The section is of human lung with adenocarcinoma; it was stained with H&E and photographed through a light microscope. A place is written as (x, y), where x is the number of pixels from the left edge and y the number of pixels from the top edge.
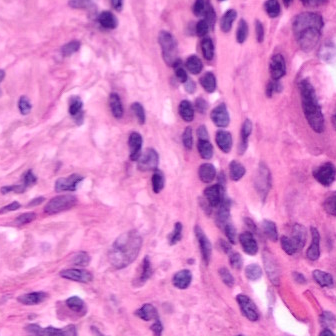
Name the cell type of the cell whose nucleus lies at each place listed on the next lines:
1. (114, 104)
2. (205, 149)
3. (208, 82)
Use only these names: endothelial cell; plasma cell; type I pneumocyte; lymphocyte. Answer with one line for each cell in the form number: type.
1: plasma cell
2: lymphocyte
3: lymphocyte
